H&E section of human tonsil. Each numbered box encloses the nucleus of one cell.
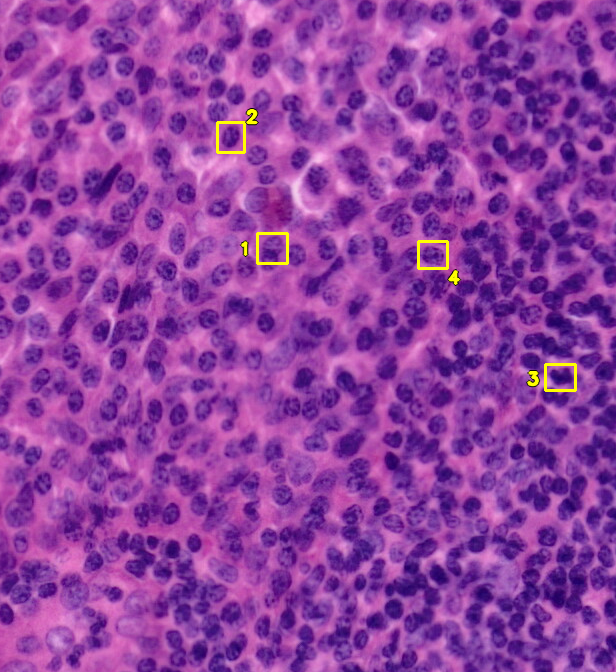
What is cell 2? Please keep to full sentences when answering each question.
In this section, the cell tagged 2 is a plasma cell.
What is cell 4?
The nucleus with number 4 is that of a plasma cell.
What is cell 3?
Regarding cell 3, this one is a small lymphocyte.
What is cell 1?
Among the marked nuclei, number 1 belongs to a plasma cell.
